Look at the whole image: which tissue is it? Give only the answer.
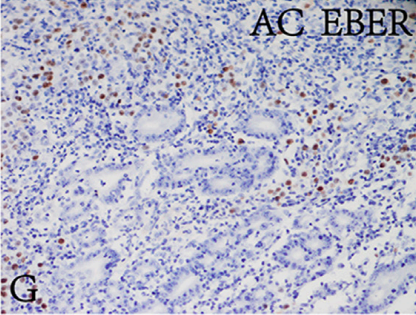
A: Glandular epithelium.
